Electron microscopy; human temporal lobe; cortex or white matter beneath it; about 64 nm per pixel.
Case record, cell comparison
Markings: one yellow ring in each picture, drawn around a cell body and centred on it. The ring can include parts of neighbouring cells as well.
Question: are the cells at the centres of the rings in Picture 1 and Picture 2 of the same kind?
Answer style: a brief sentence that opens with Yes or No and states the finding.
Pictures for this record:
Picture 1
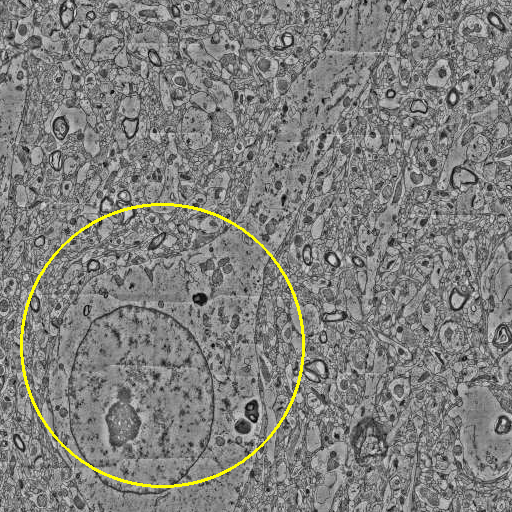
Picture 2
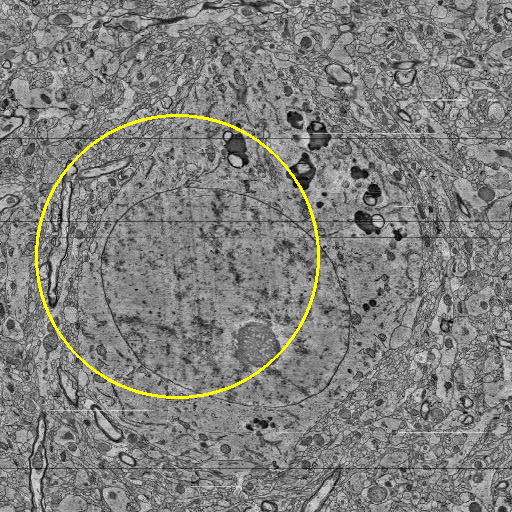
Yes, the cells in Picture 1 and Picture 2 are of the same kind.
